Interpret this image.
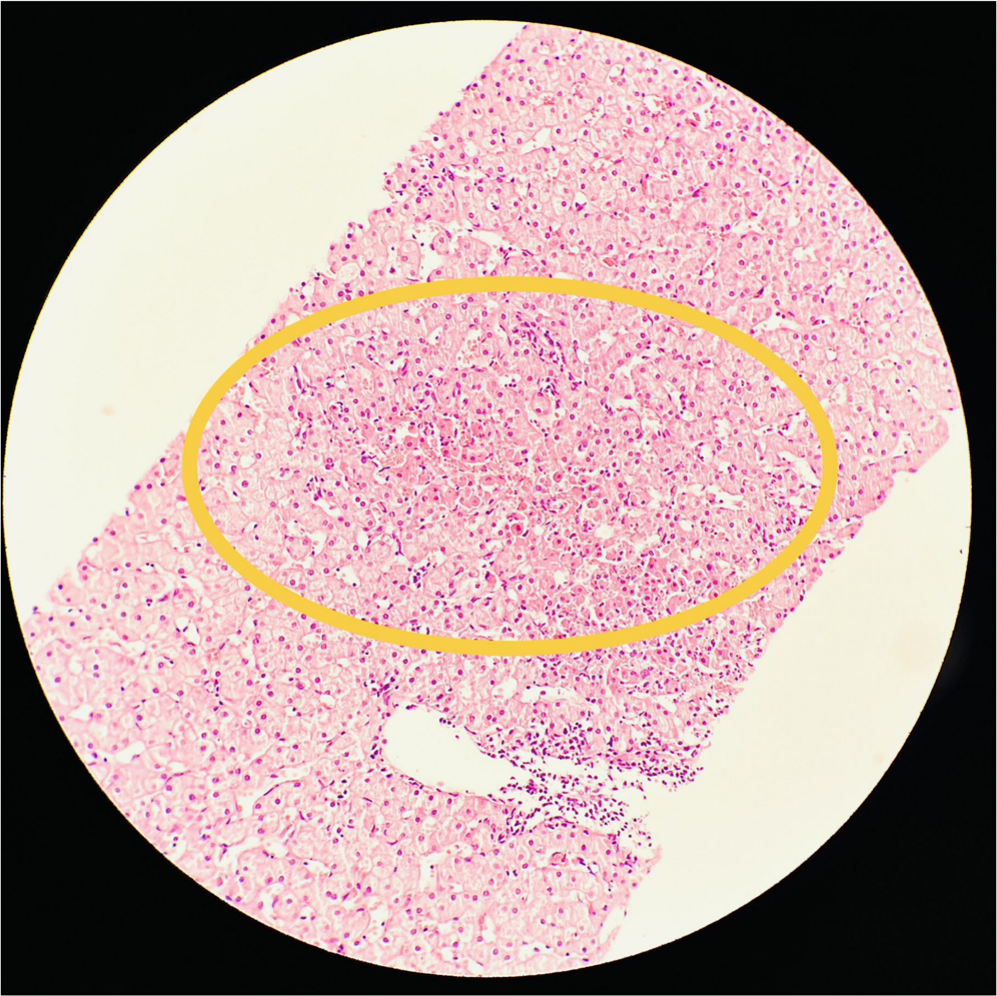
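A strip of liver tissue shows hepatocytes: large polygonal cells with pink granular cytoplasm and round central purple nuclei. They are arranged in cords separated by narrow clear sinusoidal spaces. In the middle of the strip an area of disordered tissue interrupts the regular cords. Here some hepatocytes have pale or indistinct nuclei, and small round dark nuclei of inflammatory cells lie scattered between them. In the lower part, beside an empty rounded vessel-like space, small cells with dense dark nuclei and little cytoplasm form a loose cluster. Elsewhere the hepatocyte cords appear more regular, with only occasional small dark nuclei.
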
